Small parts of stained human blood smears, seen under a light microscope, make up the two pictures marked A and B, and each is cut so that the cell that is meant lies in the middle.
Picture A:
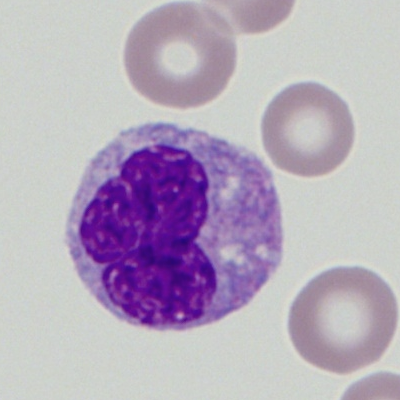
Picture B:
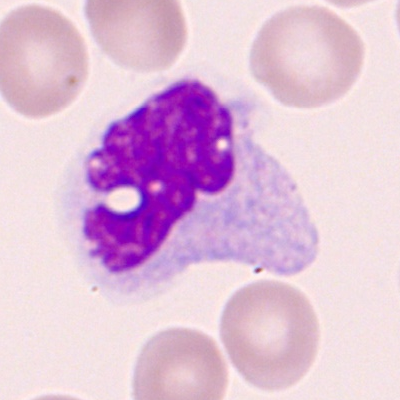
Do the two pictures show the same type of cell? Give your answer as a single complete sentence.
Yes, both cells are monocytes.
